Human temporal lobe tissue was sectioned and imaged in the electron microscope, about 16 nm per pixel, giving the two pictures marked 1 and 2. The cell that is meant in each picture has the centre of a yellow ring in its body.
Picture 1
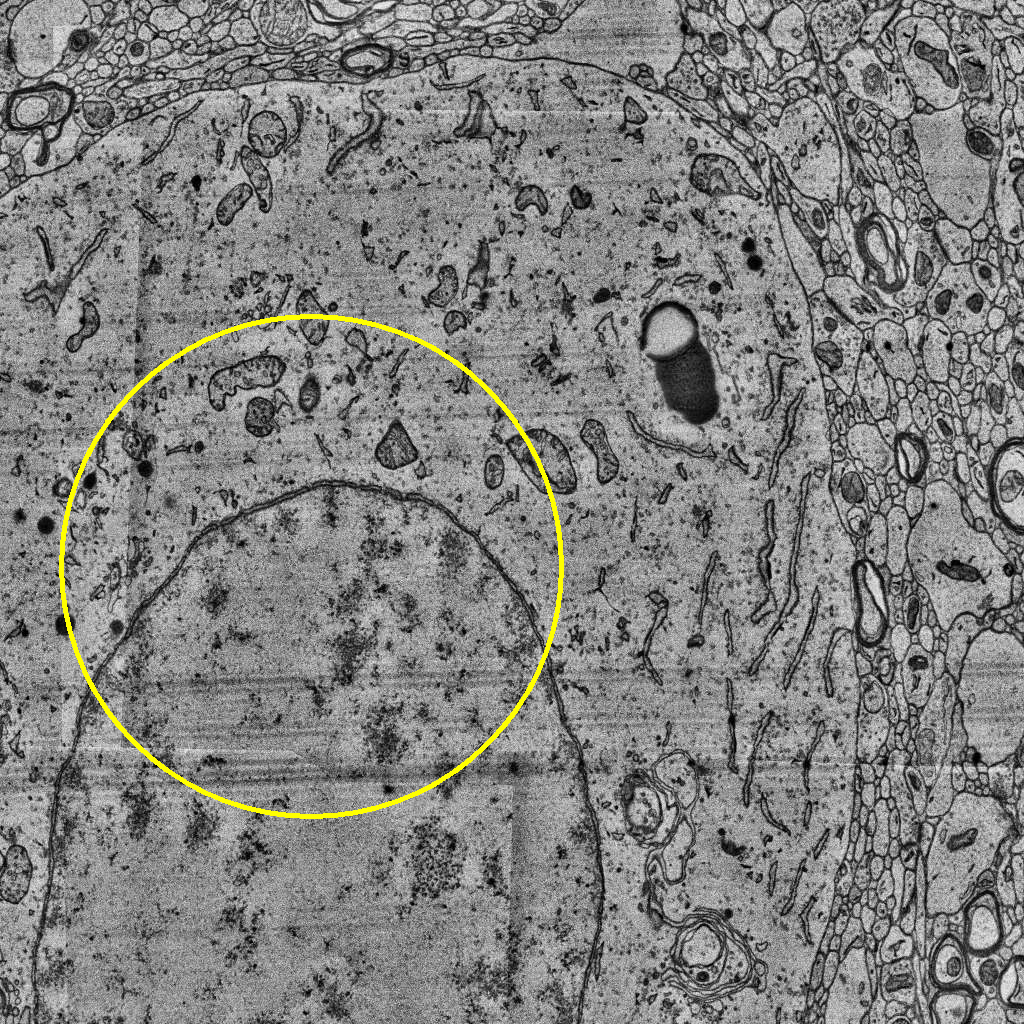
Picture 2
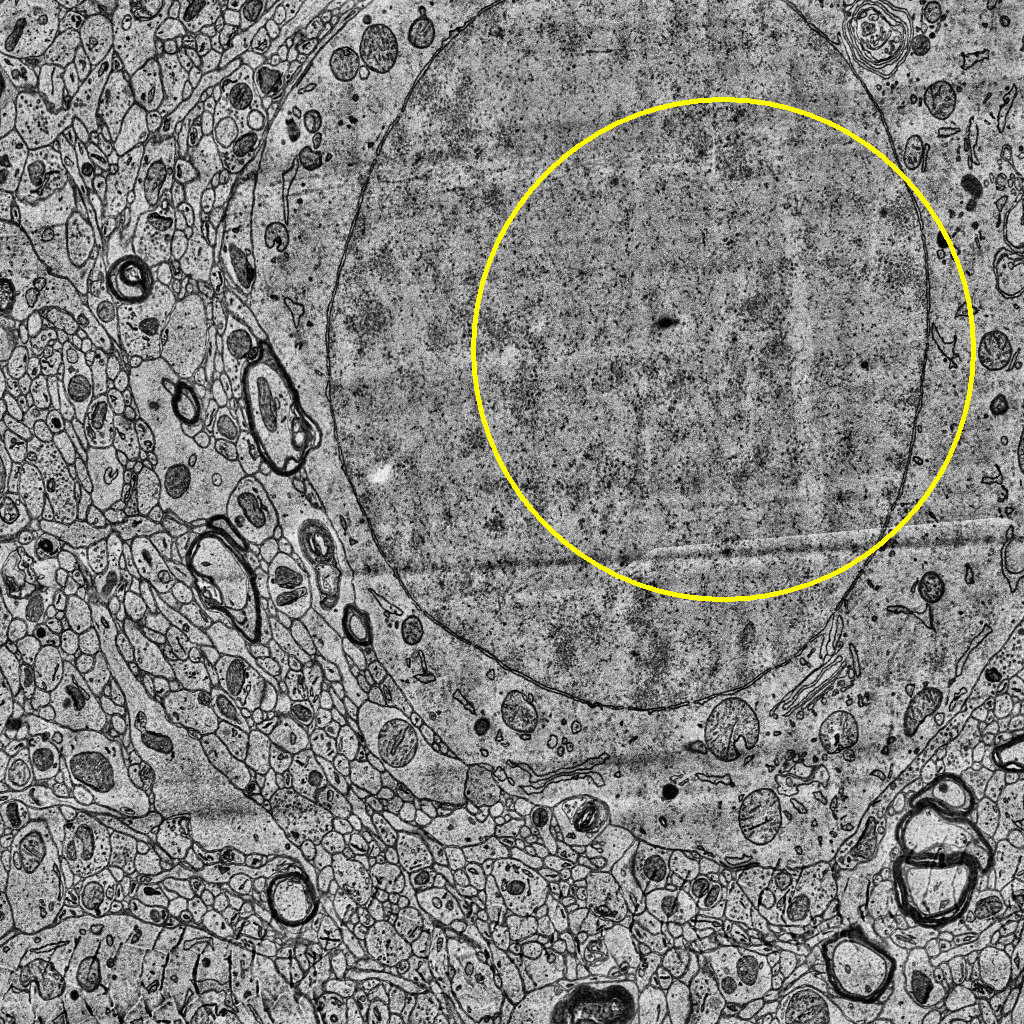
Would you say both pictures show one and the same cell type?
Yes, the two pictures both show pyramidal neurons.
